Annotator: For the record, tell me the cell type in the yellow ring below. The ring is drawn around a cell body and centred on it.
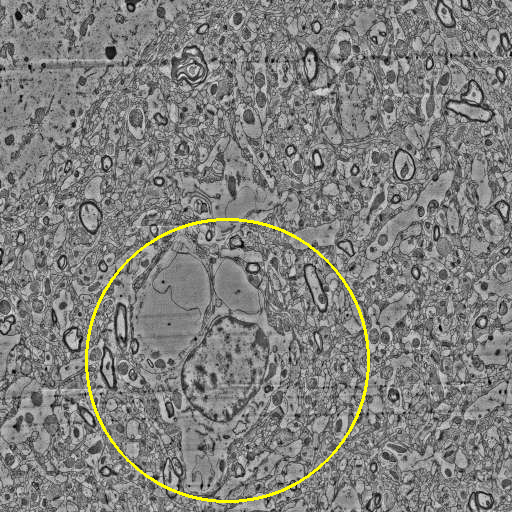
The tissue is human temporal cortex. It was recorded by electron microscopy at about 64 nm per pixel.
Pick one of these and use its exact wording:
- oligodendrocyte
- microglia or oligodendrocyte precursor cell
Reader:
microglia or oligodendrocyte precursor cell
